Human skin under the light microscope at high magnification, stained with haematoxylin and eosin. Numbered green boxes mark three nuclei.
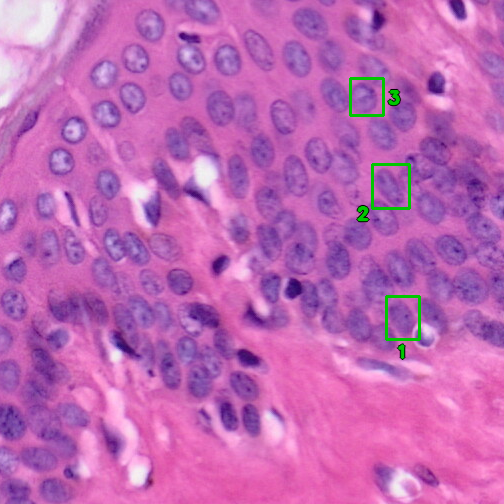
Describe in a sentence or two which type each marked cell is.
Cell 1 is a basal keratinocyte, cell 2 is a suprabasal keratinocyte and cell 3 is a suprabasal keratinocyte.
